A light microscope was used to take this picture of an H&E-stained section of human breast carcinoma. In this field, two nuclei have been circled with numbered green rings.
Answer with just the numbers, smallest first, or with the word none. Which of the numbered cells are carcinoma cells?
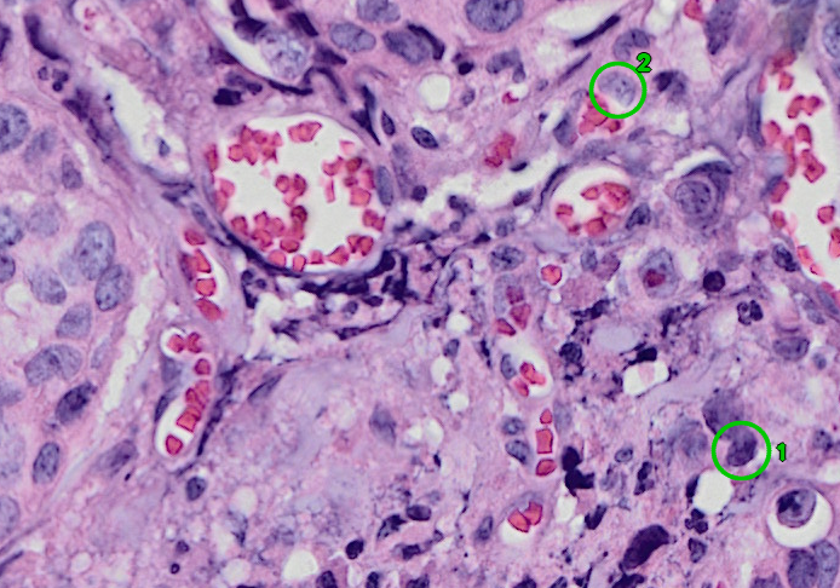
1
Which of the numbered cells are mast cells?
none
